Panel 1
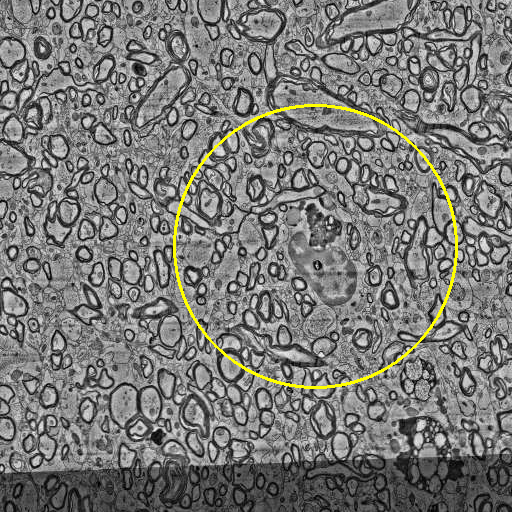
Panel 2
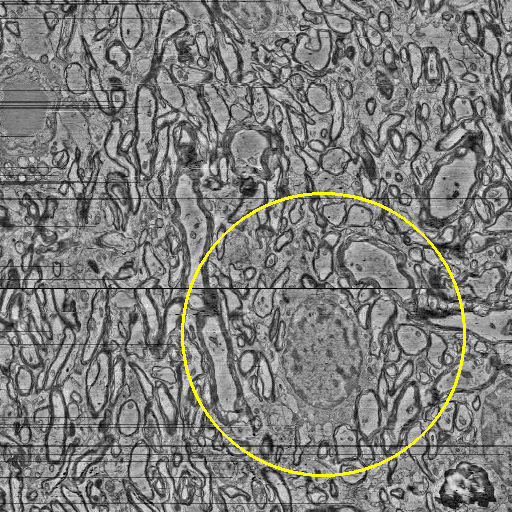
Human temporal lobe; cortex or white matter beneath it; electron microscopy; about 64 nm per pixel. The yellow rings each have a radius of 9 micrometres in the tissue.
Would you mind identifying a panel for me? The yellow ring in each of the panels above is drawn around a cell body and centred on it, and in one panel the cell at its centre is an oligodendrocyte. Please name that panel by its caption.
Panel 2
